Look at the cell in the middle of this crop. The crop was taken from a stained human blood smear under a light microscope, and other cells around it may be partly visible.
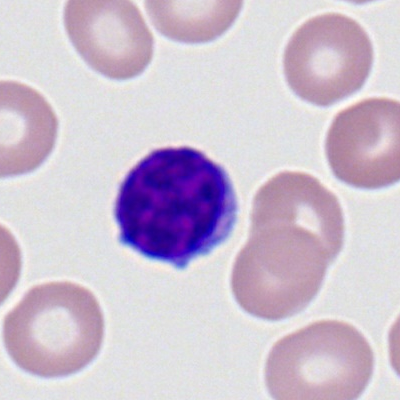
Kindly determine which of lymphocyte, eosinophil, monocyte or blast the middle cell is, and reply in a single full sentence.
Here the centrally located cell is a lymphocyte.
